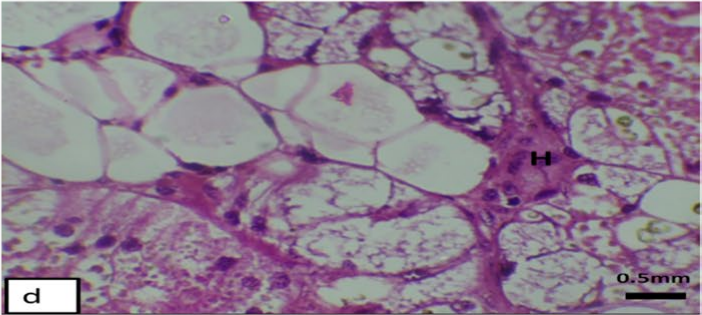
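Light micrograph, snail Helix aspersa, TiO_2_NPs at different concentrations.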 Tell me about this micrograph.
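Digestive gland at higher magnification, dominated by large, clear, polygonal vacuolated spaces separated by thin pink walls. Between them lie cells with foamy, finely reticulated pale cytoplasm and small dark purple nuclei. A denser purple-pink strand with several crowded nuclei runs between the vacuolated areas. Some vacuoles hold small greenish-yellow rounded inclusions.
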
